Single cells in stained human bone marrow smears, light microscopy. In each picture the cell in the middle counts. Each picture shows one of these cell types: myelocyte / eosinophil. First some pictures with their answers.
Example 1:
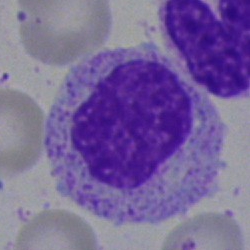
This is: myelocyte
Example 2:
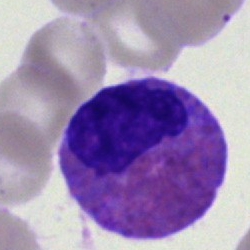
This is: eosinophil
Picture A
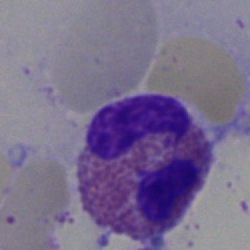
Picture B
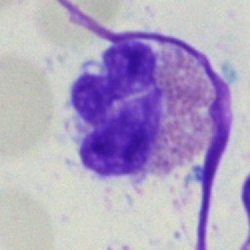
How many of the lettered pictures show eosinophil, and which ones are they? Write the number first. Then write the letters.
Count: 2 (A, B)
